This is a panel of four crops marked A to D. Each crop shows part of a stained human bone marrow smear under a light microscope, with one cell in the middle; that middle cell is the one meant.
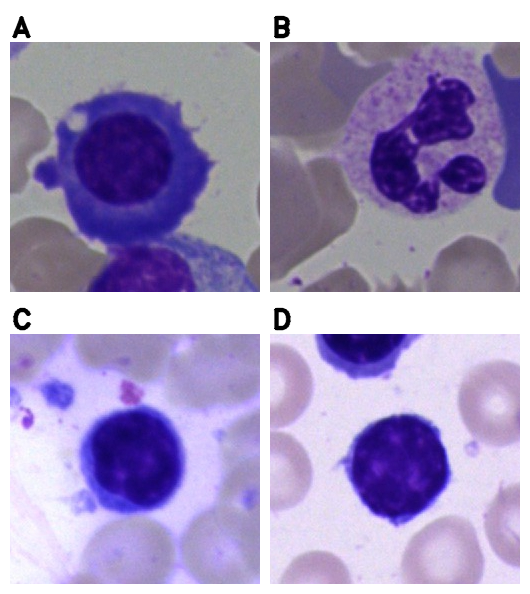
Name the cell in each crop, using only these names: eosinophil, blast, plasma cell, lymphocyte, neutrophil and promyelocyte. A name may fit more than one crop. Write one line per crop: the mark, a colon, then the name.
A: plasma cell
B: neutrophil
C: lymphocyte
D: lymphocyte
